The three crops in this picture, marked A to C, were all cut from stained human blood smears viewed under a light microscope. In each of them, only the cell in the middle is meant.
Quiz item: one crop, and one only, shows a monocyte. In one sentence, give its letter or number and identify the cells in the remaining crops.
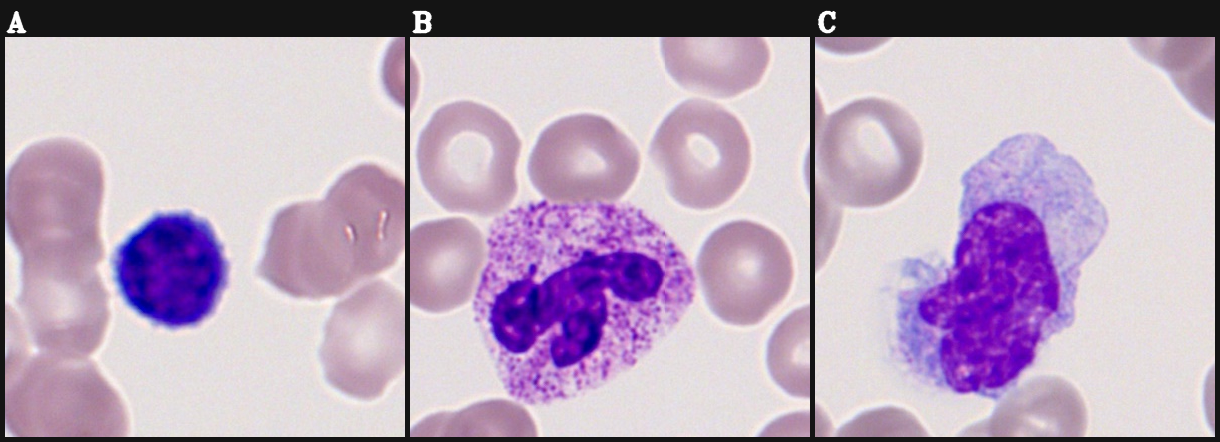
Crop C is classified as a monocyte, whereas crop A is a lymphocyte and crop B is a segmented neutrophil.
